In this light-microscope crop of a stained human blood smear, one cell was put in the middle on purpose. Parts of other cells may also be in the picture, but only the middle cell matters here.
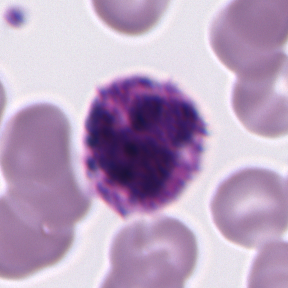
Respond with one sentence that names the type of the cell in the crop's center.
The centered cell in this crop is a basophil.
